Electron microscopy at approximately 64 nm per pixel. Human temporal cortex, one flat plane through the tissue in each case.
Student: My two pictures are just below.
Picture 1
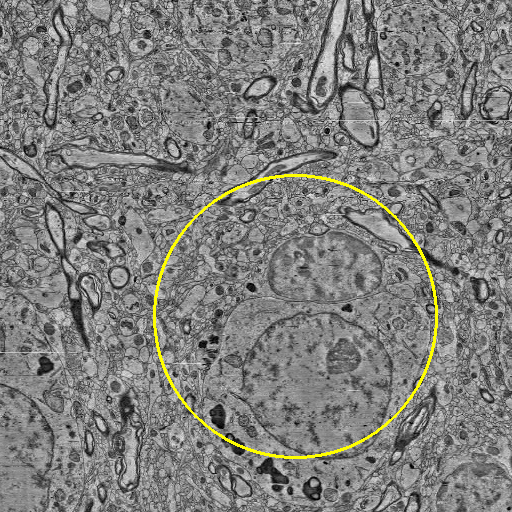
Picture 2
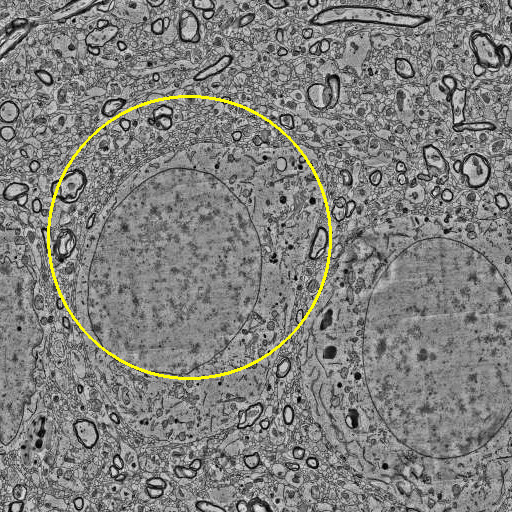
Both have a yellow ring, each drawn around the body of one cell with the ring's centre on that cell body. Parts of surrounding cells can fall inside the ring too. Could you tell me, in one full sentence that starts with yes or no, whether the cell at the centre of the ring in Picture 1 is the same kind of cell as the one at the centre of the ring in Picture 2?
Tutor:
Yes, the two cells are of the same kind.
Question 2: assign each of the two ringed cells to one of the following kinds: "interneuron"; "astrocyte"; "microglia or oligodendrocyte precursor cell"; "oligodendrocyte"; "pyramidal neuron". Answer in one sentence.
The second cell is a pyramidal neuron, just as the first is.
